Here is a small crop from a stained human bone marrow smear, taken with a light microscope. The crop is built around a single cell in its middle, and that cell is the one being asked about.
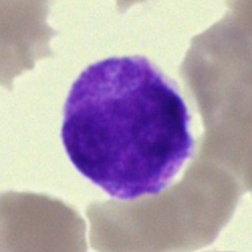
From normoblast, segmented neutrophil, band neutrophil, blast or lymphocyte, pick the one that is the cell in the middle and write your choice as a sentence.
Among the cells in view, the one in the middle is a blast.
